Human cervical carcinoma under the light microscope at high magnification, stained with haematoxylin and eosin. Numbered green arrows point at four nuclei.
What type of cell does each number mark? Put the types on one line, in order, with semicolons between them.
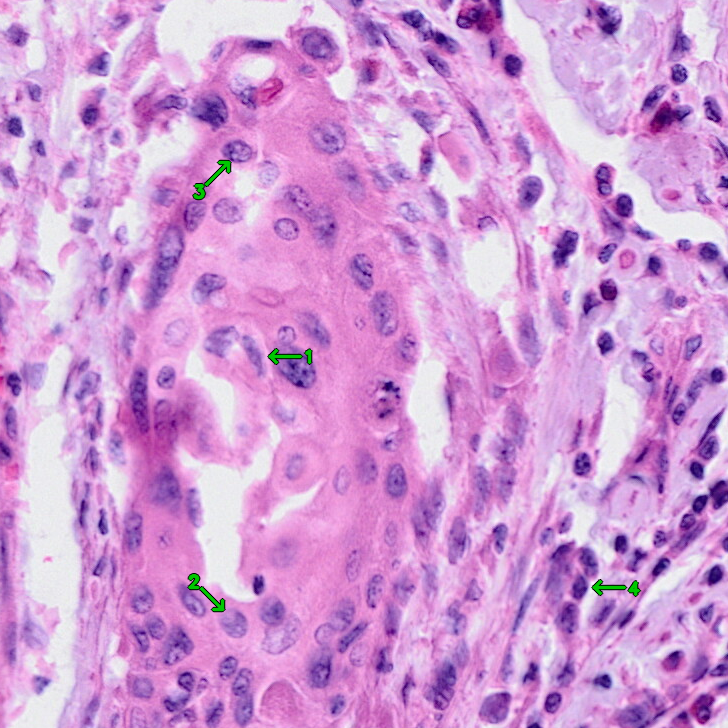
squamous carcinoma cell; squamous carcinoma cell; squamous carcinoma cell; lymphocyte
